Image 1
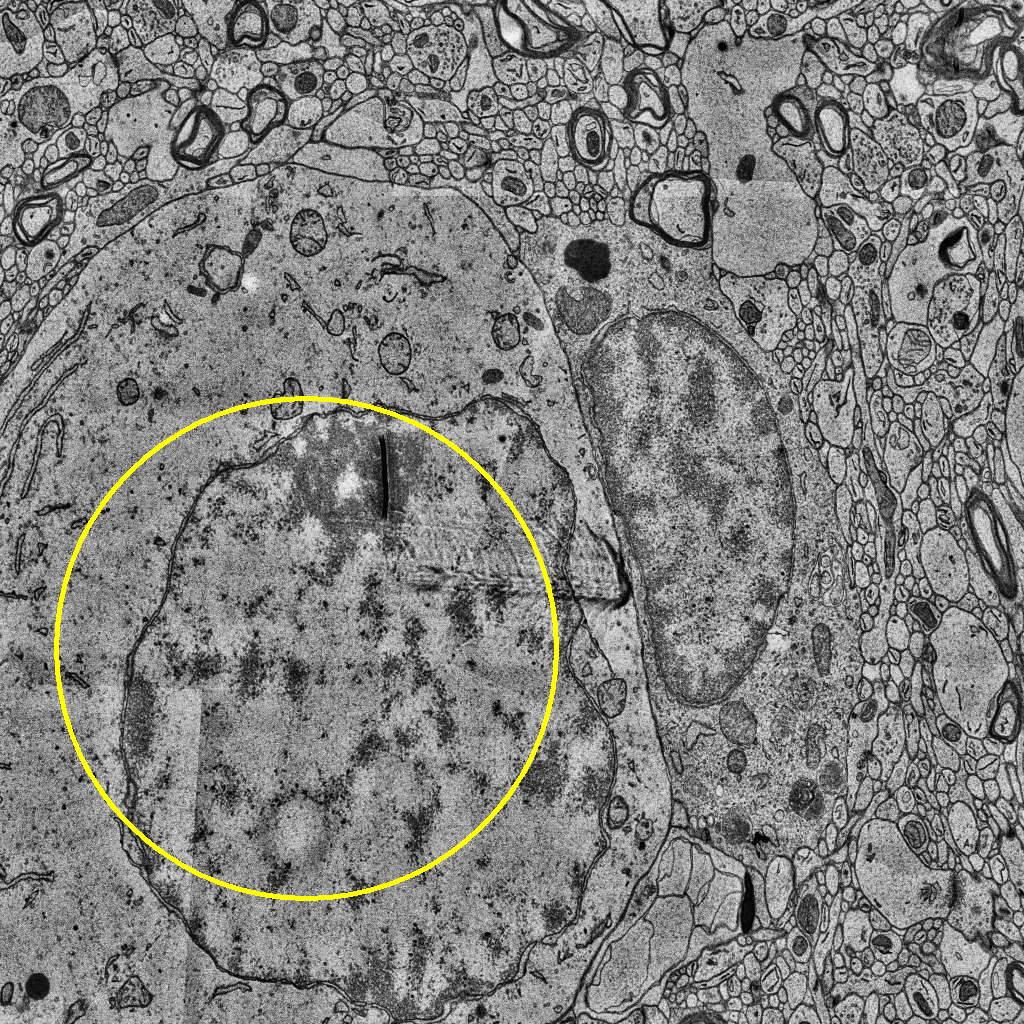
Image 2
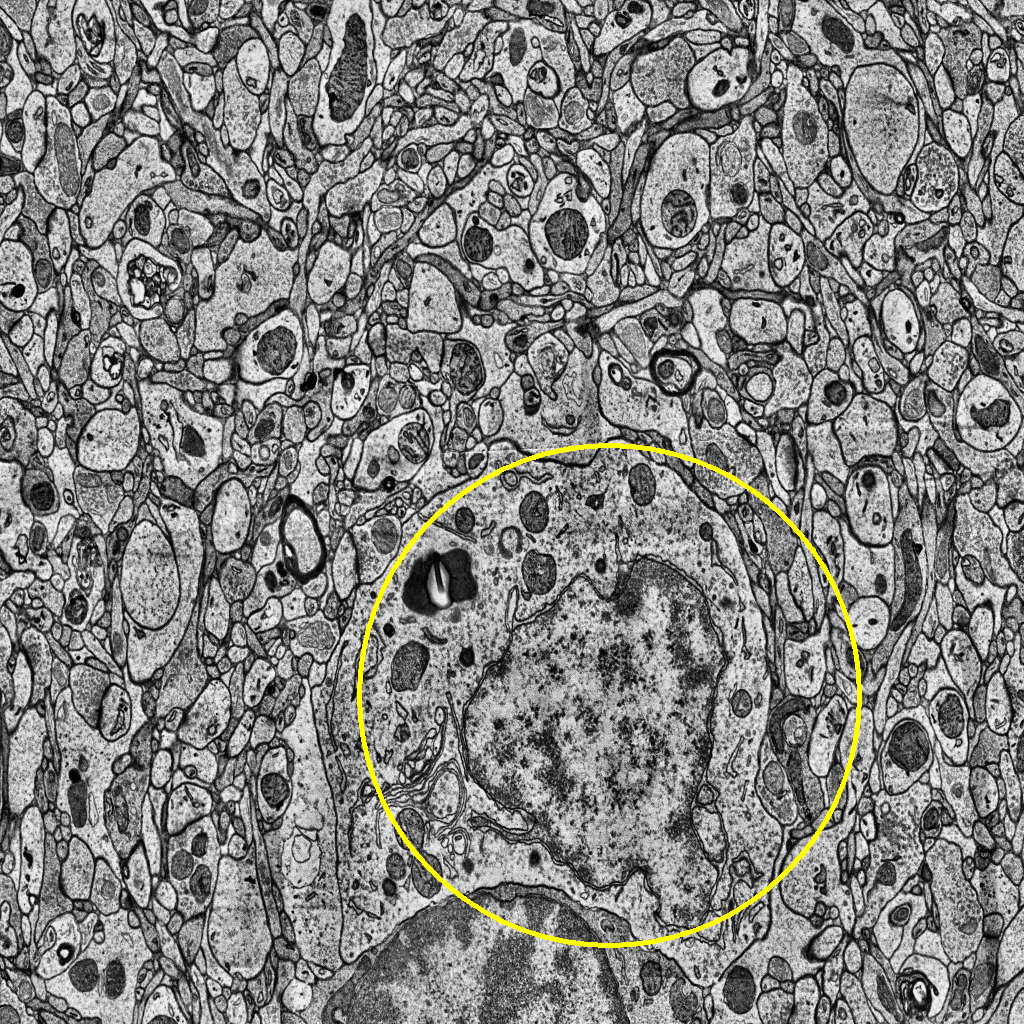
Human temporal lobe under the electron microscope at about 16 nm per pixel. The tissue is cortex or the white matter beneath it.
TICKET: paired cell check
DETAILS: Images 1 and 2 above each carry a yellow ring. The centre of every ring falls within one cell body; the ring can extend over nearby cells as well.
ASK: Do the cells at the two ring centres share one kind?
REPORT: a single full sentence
Yes, the cells at the ring centres of Images 1 and 2 belong to a single kind.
